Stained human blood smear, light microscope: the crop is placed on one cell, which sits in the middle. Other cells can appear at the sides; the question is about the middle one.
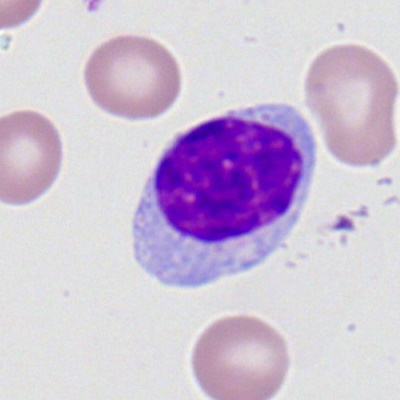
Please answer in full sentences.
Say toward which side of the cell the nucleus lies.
The nucleus sits off-centre, toward the top.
